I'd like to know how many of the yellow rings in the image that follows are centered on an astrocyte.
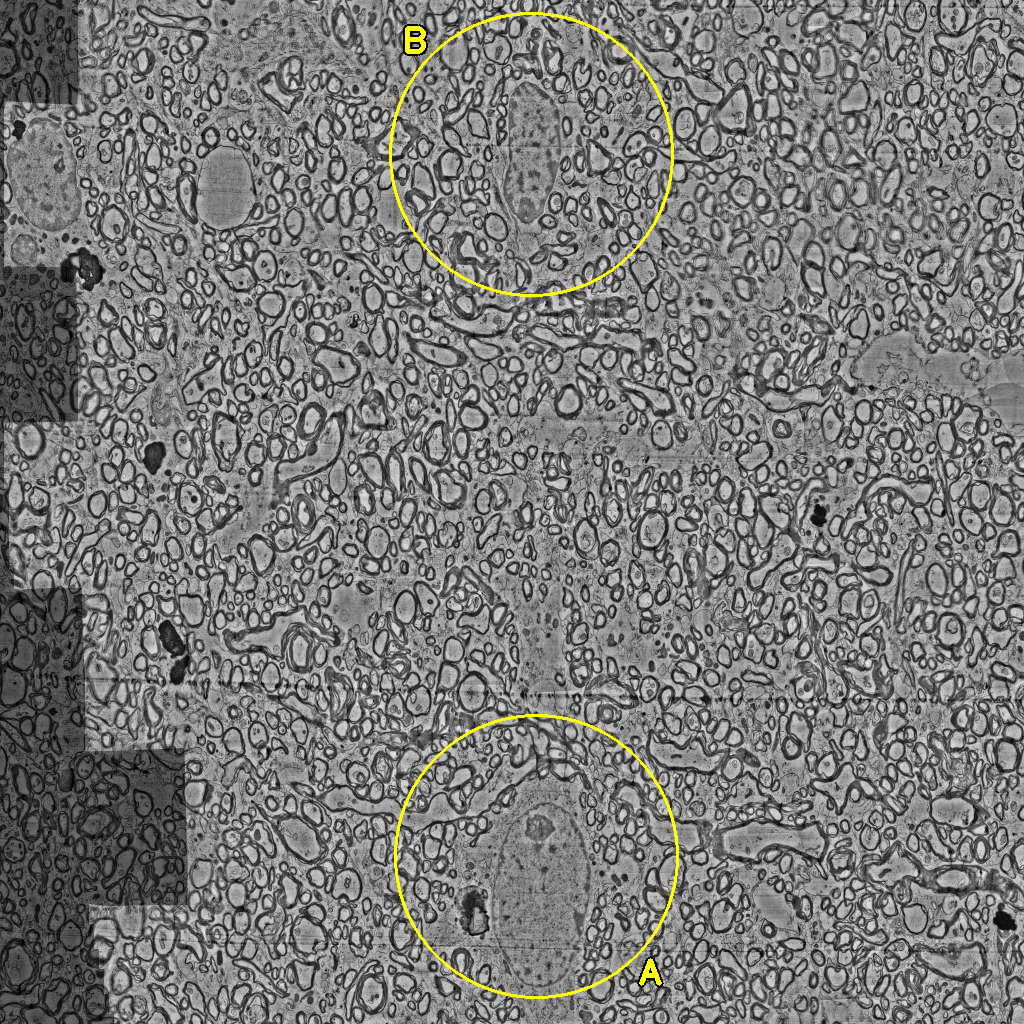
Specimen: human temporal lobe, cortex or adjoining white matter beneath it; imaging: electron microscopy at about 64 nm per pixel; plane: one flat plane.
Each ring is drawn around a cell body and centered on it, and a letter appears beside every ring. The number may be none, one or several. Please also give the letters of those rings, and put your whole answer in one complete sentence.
The micrograph contains only one ring centred on an astrocyte, and beside it sits the letter A.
